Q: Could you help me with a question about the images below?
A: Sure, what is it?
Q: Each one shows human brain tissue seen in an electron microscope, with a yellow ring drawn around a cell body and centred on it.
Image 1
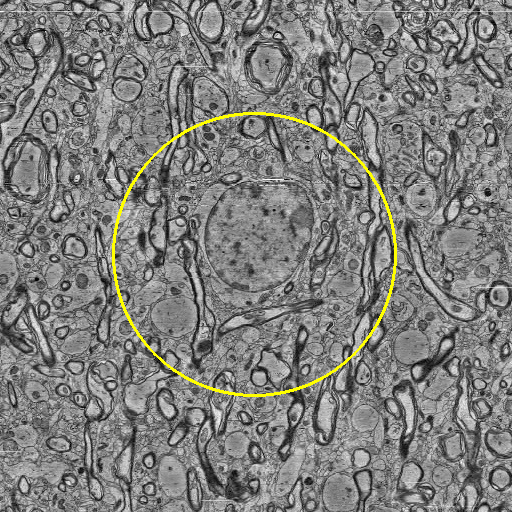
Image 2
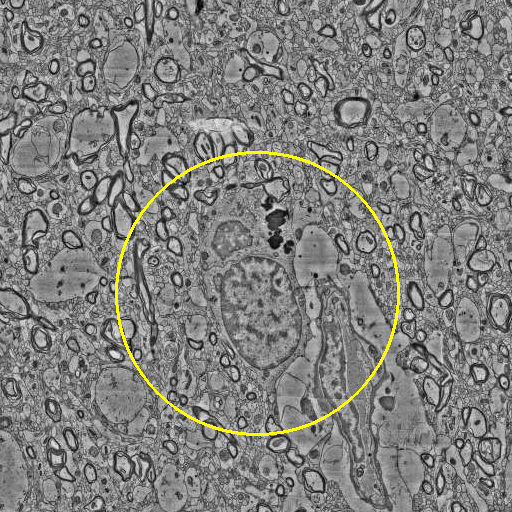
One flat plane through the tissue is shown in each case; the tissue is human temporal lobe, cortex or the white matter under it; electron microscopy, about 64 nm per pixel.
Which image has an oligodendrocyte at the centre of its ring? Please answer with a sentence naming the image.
Image 2 has it at the centre of its ring.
